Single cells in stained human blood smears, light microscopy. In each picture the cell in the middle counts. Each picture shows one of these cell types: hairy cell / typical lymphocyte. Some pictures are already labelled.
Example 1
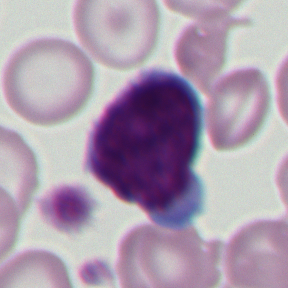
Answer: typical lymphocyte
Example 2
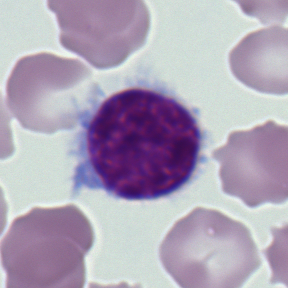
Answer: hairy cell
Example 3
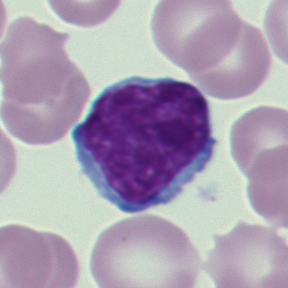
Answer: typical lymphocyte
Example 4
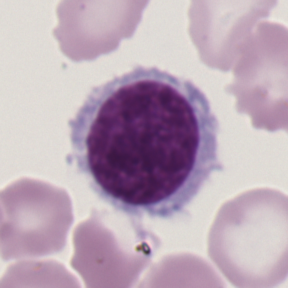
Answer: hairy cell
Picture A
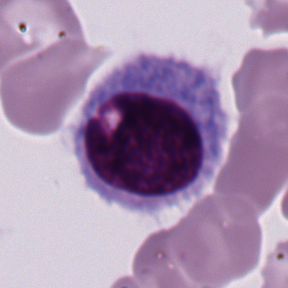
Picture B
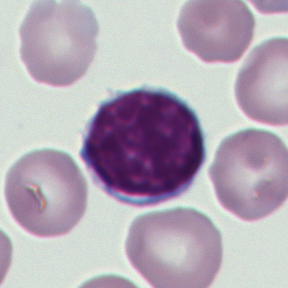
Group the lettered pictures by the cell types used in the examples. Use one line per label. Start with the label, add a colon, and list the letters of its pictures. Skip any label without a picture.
hairy cell: A
typical lymphocyte: B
